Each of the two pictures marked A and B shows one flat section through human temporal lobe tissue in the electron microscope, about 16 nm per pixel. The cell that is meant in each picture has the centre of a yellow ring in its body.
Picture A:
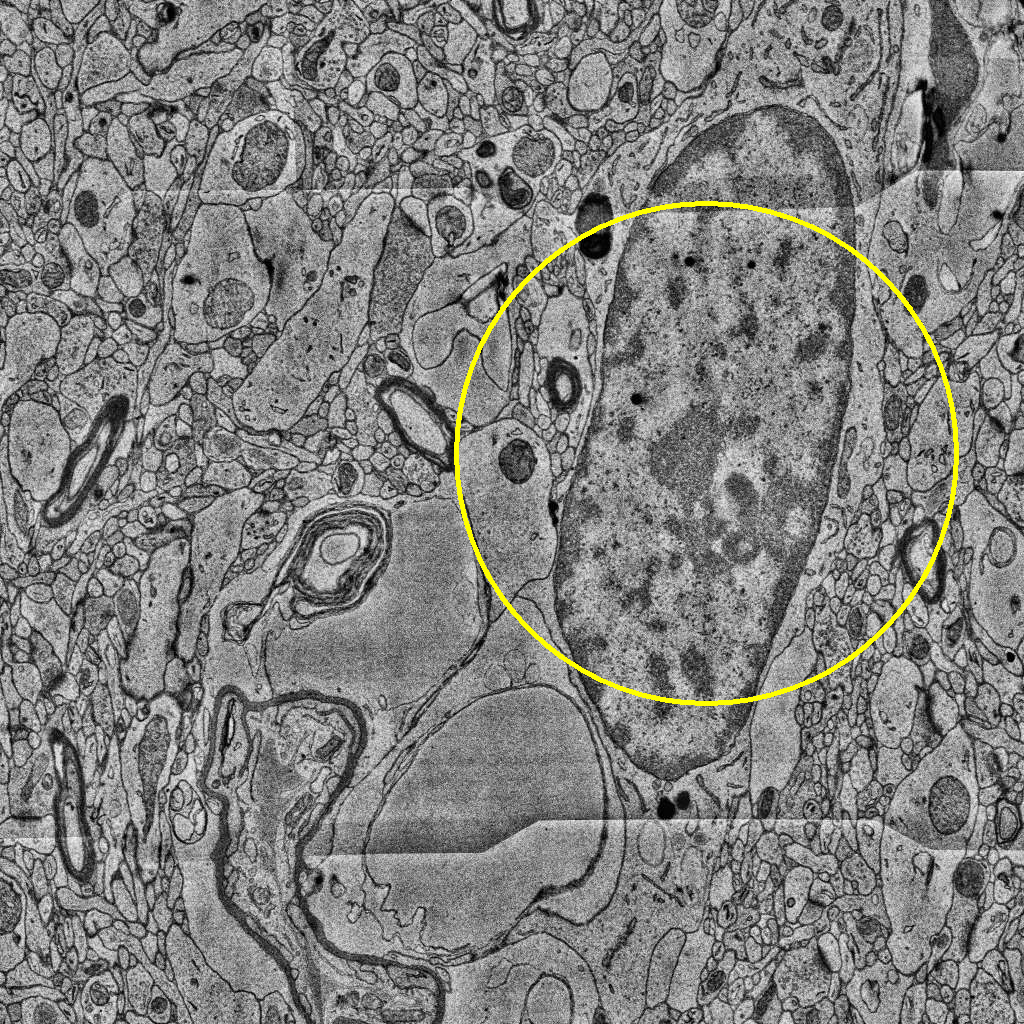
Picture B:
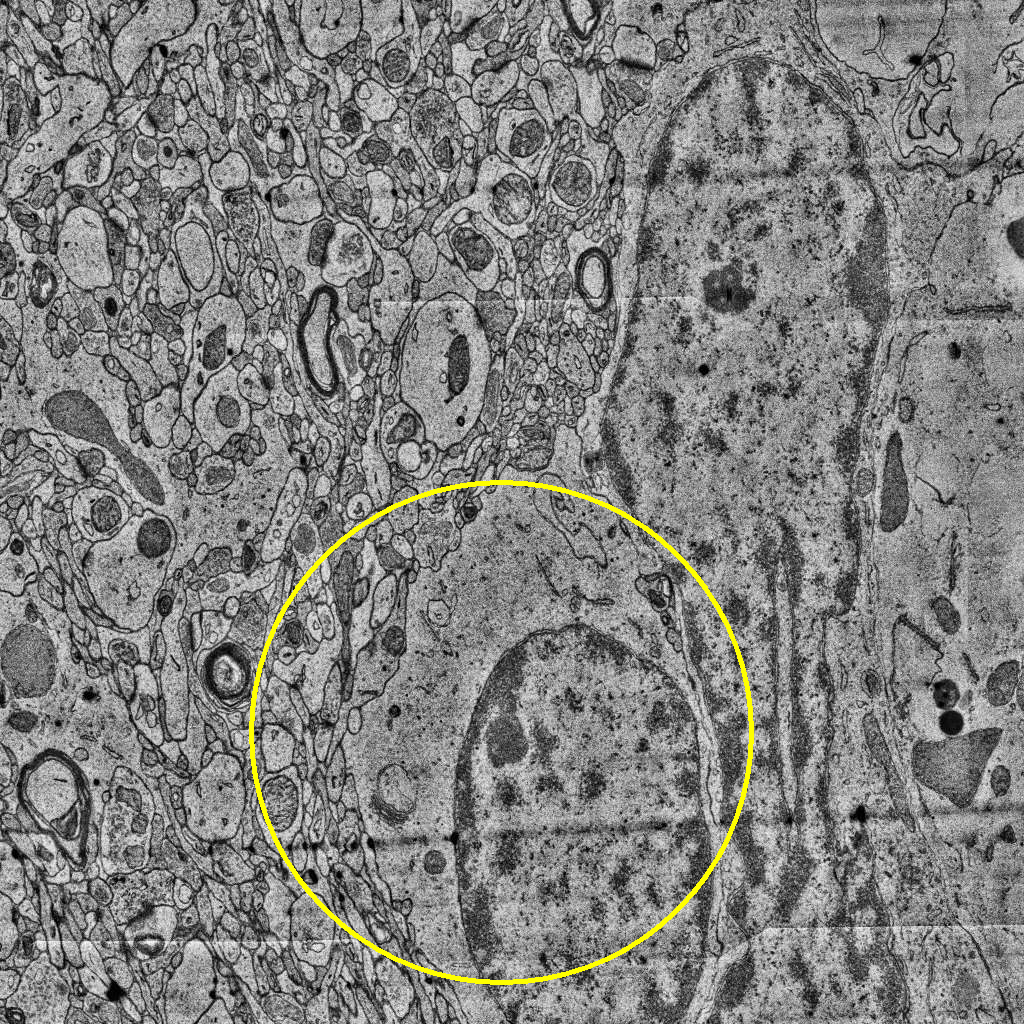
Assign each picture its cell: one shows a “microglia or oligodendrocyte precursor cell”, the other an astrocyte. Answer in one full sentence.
The cell in picture A is a “microglia or oligodendrocyte precursor cell”, and the one in picture B is an astrocyte.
